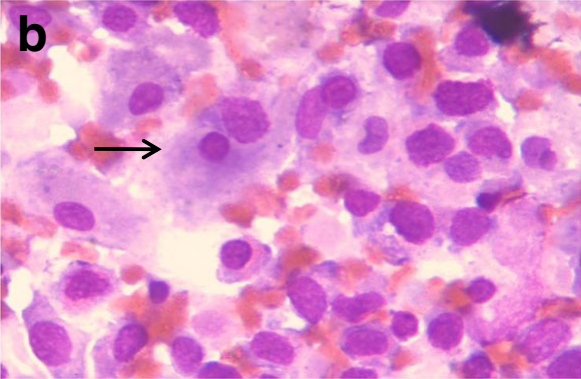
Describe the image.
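This densely cellular bone marrow smear contains a large haemophagocytic cell among many smaller marrow cells. The large cell has broad, pale grey-blue cytoplasm with poorly defined borders. A small, dense, round purple body lies within it. Around it, many cells have round to oval purple nuclei, some with folds or indentations. Orange-pink red cells are scattered between the nucleated cells.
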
